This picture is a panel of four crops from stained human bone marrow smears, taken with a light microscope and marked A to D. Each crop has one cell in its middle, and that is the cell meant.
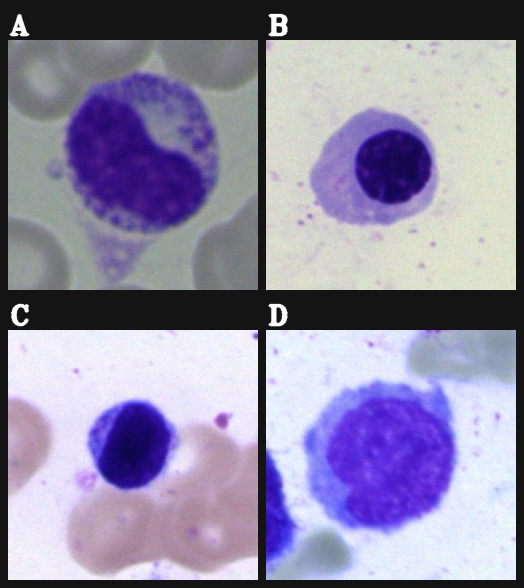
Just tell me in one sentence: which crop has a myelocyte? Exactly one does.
The sole crop showing a myelocyte is crop A.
